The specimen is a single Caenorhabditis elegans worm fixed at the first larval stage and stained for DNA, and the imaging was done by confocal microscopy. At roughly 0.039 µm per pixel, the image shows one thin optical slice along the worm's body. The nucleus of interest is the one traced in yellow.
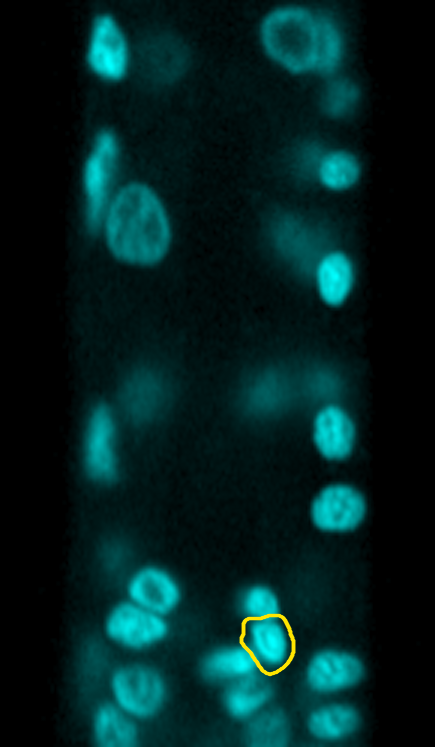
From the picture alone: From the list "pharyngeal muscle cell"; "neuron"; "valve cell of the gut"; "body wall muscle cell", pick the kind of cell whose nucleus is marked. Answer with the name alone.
valve cell of the gut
